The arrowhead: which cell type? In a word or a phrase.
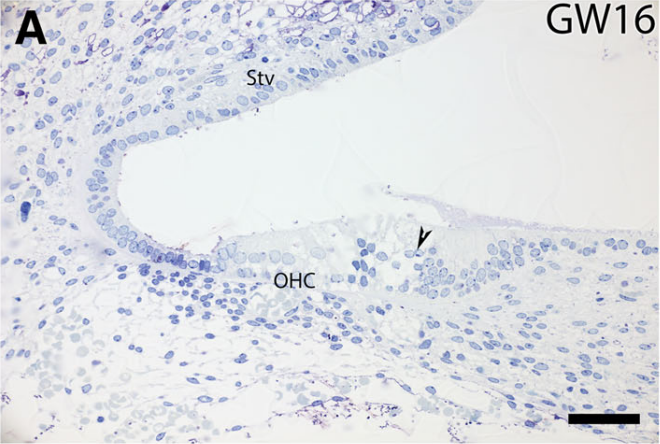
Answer: inner hair cells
